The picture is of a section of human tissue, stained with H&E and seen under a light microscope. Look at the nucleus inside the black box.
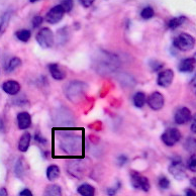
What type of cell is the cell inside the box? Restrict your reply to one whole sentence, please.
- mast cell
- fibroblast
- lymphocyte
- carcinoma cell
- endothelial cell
The classification of the cell inside the box is as an endothelial cell.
